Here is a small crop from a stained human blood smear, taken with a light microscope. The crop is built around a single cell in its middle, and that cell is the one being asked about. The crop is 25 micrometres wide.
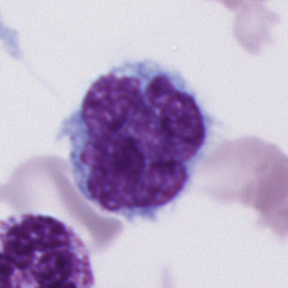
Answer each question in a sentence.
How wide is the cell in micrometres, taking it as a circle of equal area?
The diameter of the cell comes to about 13 micrometres.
